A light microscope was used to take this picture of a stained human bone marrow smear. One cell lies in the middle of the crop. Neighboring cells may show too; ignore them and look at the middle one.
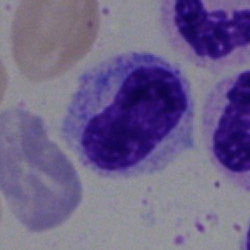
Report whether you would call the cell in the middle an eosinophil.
no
